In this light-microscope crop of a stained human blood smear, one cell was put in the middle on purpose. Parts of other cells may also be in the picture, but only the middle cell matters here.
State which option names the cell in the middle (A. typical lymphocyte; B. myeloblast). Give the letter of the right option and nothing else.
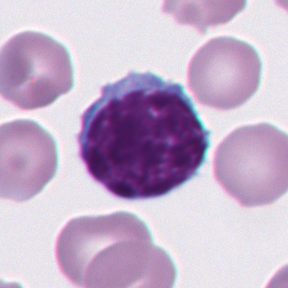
A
